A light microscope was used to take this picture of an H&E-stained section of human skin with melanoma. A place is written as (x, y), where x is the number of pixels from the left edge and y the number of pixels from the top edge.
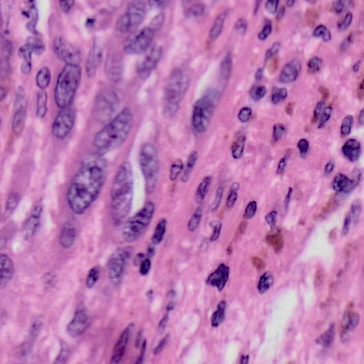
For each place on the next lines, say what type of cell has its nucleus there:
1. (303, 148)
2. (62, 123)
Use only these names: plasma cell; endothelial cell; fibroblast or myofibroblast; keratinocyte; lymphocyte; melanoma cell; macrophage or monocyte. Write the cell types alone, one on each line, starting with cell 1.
lymphocyte
melanoma cell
